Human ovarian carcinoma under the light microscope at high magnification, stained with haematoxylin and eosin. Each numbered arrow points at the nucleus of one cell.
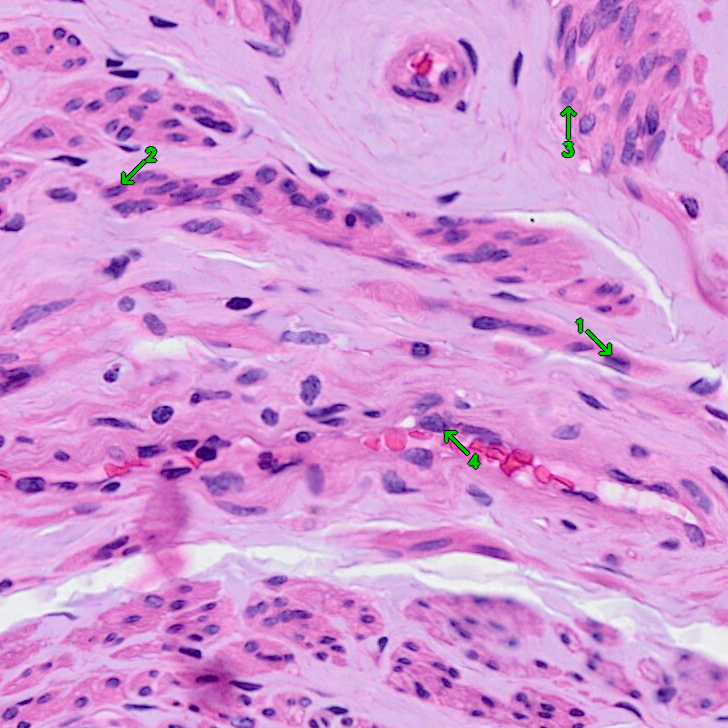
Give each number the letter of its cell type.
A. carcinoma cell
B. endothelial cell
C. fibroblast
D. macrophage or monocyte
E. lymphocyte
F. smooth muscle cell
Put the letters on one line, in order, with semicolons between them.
F; F; F; B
